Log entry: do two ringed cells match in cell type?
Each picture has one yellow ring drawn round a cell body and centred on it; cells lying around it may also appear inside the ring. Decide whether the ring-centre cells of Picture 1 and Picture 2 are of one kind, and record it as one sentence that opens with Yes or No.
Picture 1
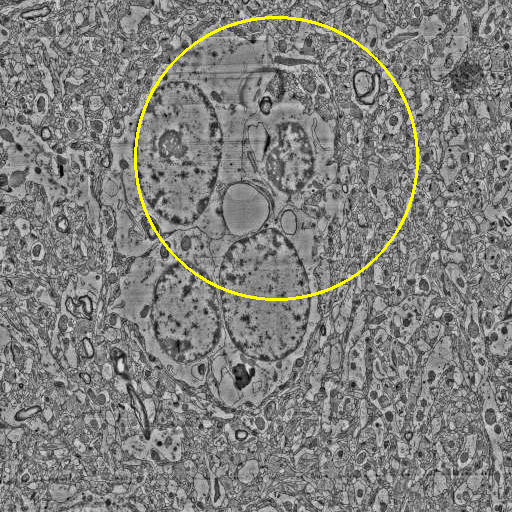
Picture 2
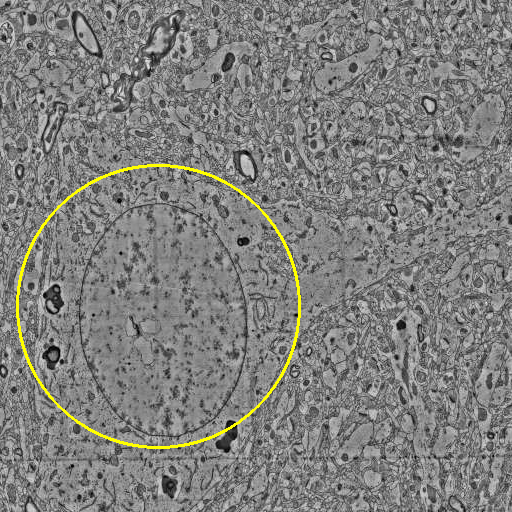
No, the cells at the ring centres of the two pictures belong to two kinds.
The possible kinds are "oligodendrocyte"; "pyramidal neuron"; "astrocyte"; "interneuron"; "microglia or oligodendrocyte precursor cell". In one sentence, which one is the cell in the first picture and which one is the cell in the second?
The cell ringed in the second picture is a pyramidal neuron, whereas the one ringed in the first is an astrocyte.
